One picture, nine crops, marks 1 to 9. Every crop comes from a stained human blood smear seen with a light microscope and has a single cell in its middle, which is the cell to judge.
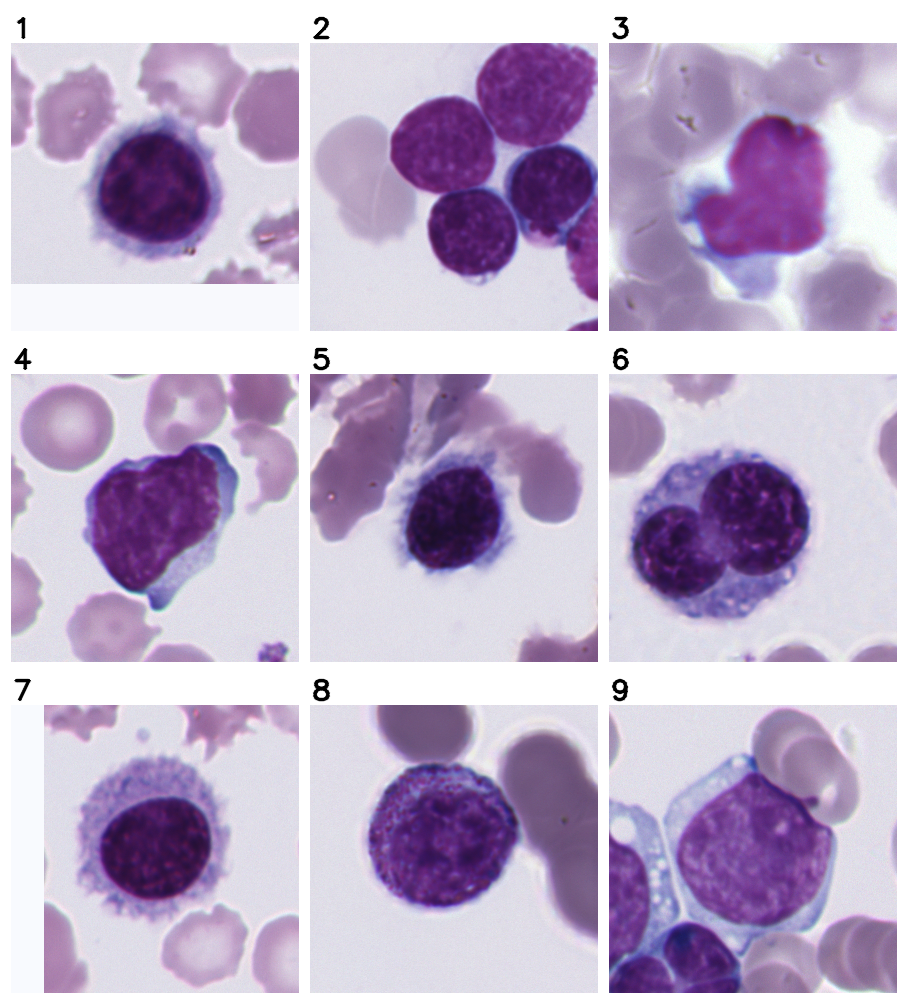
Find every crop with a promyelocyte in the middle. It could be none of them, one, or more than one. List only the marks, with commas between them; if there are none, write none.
8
